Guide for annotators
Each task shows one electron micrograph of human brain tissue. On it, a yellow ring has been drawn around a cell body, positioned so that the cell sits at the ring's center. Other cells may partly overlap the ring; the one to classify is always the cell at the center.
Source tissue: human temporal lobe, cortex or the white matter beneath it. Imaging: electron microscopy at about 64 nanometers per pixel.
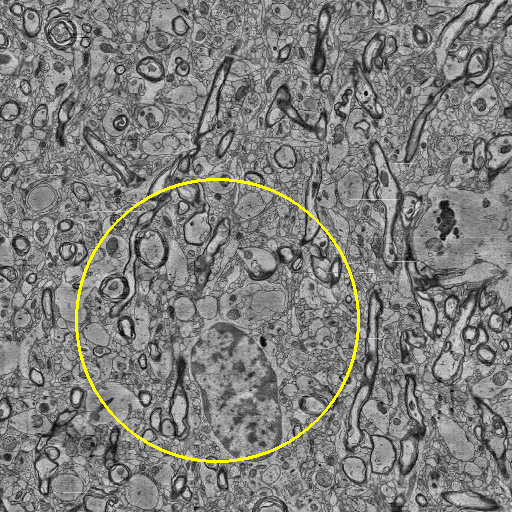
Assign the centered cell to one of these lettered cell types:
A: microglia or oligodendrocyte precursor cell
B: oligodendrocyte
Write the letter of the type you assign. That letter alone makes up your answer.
A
